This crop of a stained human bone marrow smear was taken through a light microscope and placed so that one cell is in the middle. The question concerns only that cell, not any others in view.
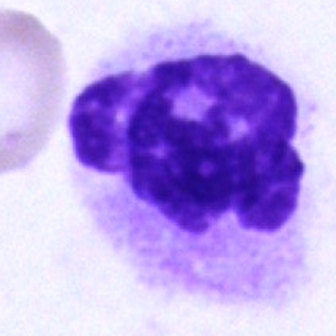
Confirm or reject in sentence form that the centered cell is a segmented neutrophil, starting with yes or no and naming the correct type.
Yes, the cell located at the center is a segmented neutrophil.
